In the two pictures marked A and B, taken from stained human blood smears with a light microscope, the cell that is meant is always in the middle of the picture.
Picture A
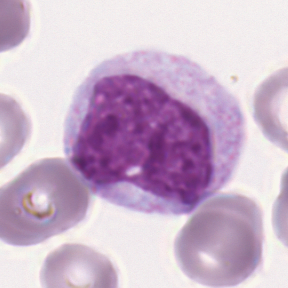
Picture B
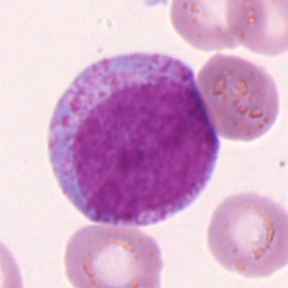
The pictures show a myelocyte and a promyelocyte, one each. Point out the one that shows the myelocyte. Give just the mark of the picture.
A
